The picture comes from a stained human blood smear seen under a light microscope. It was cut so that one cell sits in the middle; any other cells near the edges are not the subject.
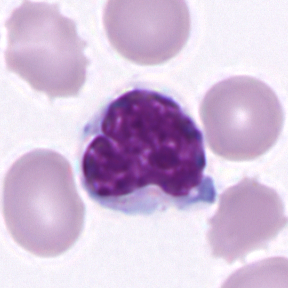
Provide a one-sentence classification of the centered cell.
The cell the crop is centered on is a plasma cell.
